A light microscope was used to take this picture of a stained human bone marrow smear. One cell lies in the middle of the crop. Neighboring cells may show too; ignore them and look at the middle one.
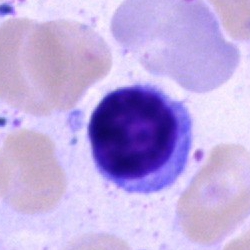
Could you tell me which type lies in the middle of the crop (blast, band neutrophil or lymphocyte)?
lymphocyte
